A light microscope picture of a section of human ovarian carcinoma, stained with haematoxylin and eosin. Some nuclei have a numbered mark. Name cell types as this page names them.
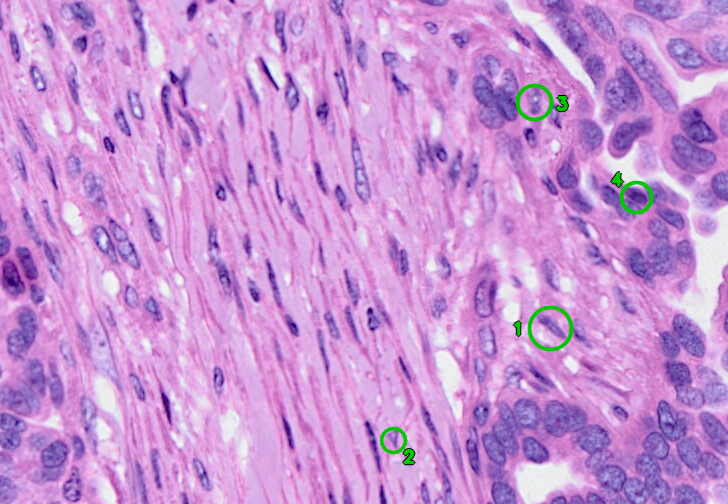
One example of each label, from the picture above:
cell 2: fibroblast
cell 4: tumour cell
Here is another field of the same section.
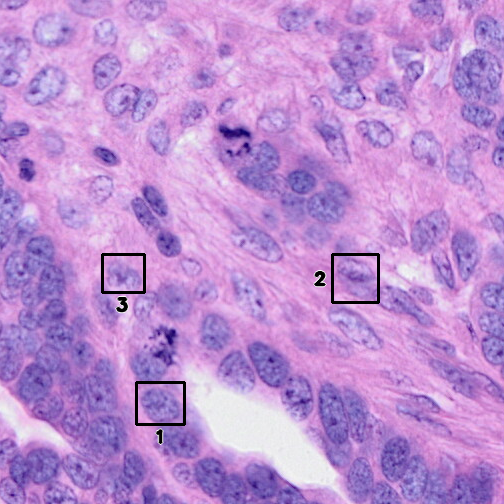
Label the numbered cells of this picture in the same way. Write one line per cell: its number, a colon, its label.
1: tumour cell
2: fibroblast
3: fibroblast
